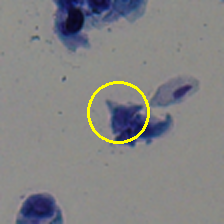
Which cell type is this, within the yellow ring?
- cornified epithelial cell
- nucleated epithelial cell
Within the ring is a nucleated epithelial cell.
